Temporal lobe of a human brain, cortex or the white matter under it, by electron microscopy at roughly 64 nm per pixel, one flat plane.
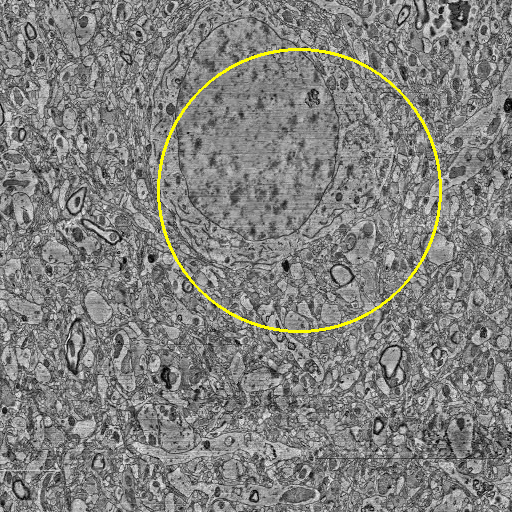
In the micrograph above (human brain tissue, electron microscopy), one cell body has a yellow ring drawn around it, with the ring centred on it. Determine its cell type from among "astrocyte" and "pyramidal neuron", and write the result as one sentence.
The cell whose body is ringed is a pyramidal neuron.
